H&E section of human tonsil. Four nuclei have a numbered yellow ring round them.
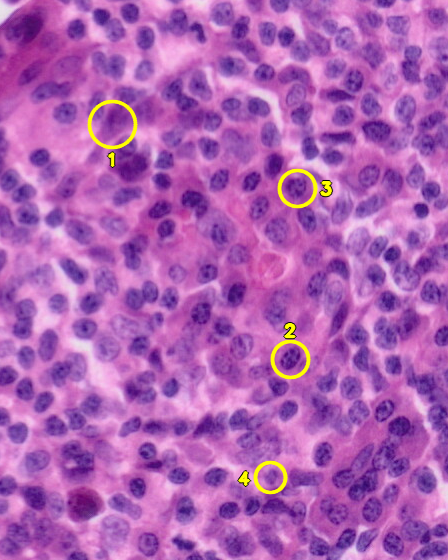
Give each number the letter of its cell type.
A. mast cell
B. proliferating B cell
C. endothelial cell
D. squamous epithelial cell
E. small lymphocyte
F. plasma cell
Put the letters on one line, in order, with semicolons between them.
D; F; F; D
